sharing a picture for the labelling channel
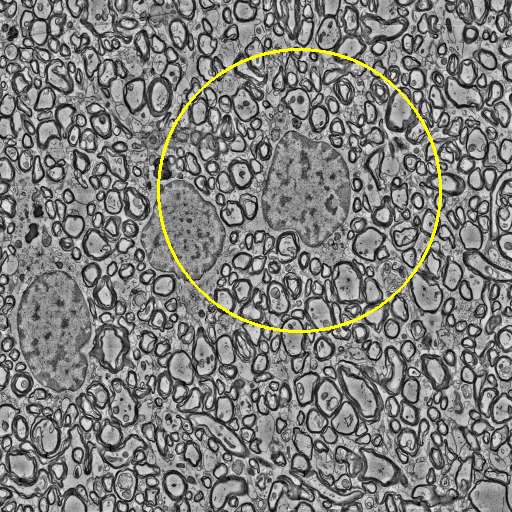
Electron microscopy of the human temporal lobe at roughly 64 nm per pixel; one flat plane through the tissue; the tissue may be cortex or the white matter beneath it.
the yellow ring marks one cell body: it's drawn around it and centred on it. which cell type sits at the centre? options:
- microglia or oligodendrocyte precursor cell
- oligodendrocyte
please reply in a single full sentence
In the picture, the cell at the ring's centre is an oligodendrocyte, going by the list.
